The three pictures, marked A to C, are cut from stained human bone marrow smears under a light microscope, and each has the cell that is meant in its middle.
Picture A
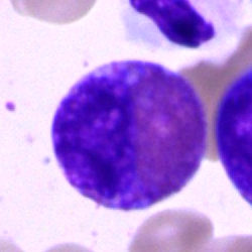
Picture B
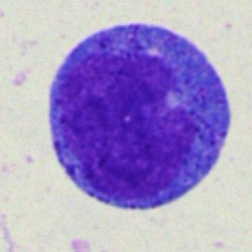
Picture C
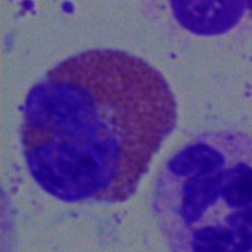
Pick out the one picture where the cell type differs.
B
